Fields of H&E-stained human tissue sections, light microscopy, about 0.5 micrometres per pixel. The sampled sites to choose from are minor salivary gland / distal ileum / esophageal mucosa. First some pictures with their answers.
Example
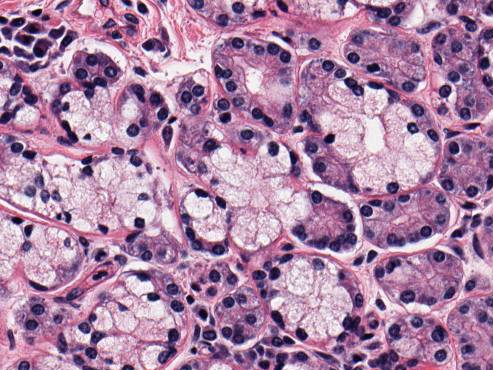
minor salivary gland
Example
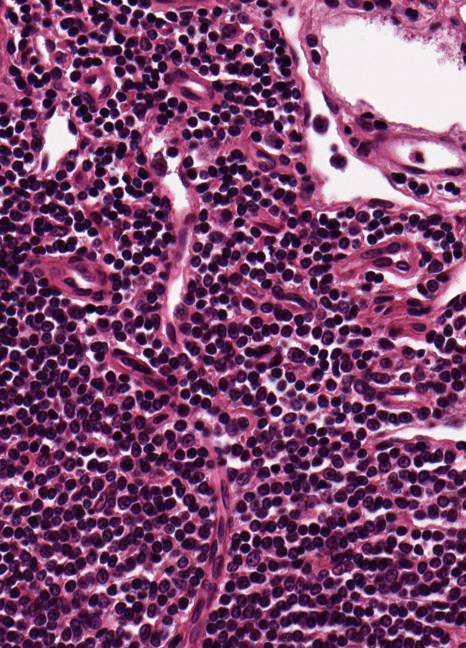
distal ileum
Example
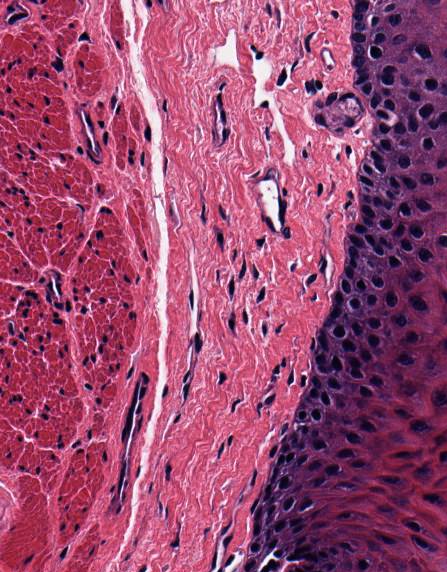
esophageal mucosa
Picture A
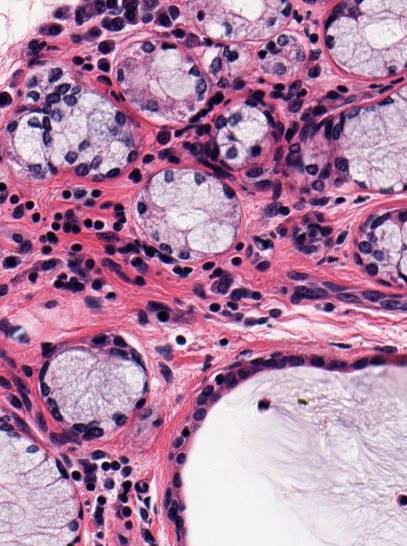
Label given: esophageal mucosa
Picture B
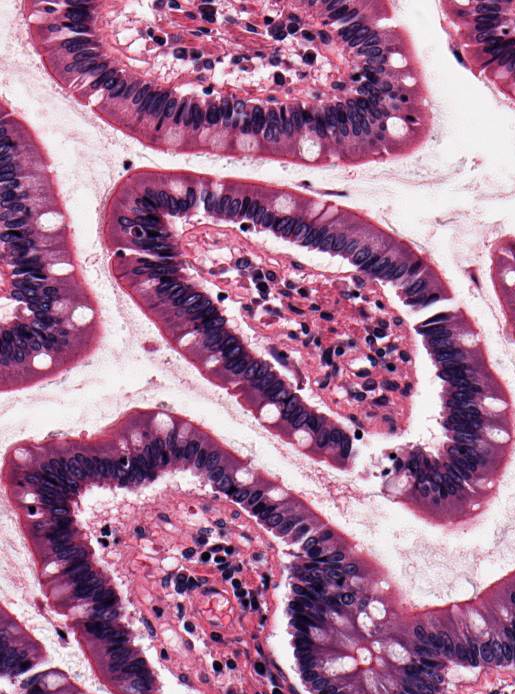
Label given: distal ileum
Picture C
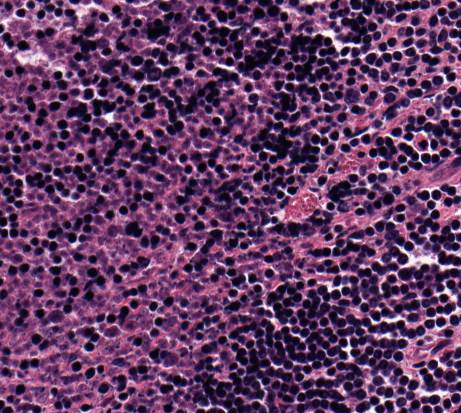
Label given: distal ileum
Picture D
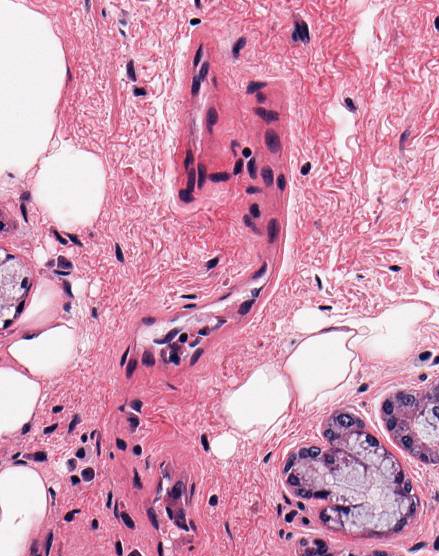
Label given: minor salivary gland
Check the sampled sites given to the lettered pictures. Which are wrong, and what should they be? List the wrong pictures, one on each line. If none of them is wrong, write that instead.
Wrong: A (esophageal mucosa); correct: minor salivary gland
